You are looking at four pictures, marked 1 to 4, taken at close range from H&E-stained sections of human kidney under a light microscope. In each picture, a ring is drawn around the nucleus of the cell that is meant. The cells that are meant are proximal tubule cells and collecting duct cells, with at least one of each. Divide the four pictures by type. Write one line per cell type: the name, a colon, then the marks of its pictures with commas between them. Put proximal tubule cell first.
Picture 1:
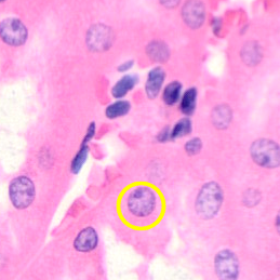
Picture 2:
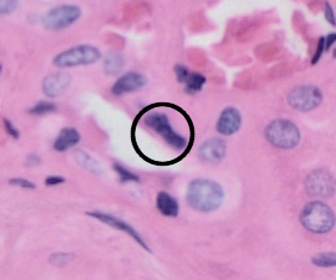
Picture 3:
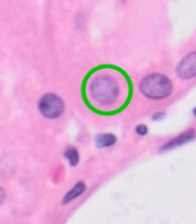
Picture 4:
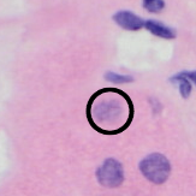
proximal tubule cell: 1, 3, 4
collecting duct cell: 2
